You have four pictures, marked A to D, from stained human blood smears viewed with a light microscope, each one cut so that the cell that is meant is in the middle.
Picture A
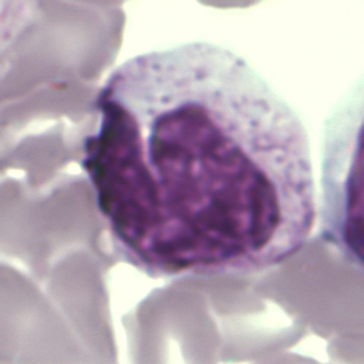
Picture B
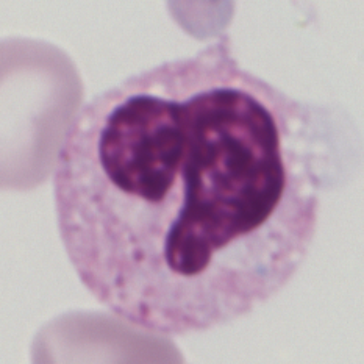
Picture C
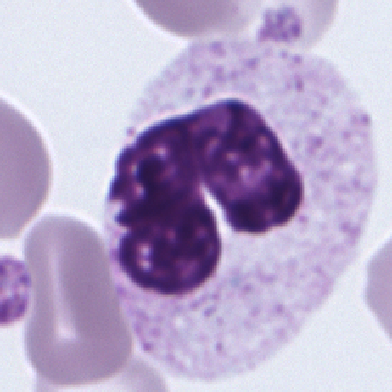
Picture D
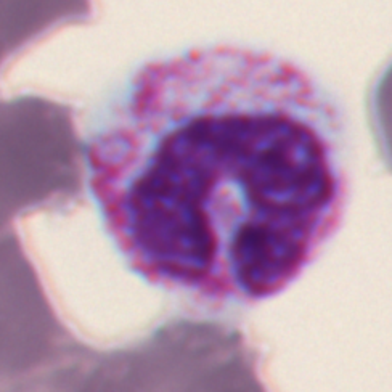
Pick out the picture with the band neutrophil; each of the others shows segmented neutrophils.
A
